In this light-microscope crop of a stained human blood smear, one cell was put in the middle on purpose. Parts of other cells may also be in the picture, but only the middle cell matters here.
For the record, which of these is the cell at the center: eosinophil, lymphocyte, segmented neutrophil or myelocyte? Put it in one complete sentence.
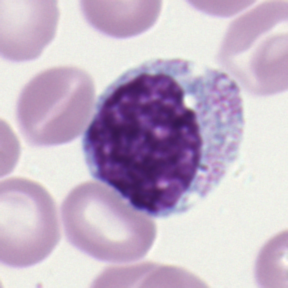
The cell shown in the center of this light-microscope crop is a myelocyte.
